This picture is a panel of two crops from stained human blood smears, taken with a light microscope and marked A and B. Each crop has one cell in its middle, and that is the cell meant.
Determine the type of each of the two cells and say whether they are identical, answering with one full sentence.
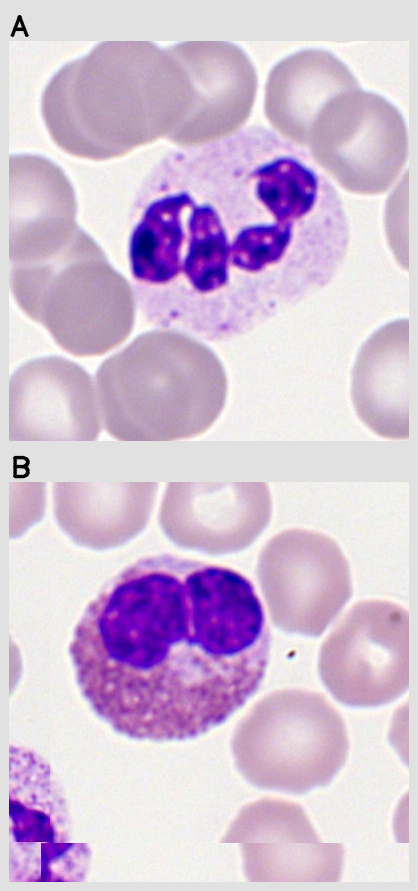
No, the cell at the middle of crop A is a neutrophil, while crop B centres on an eosinophil.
